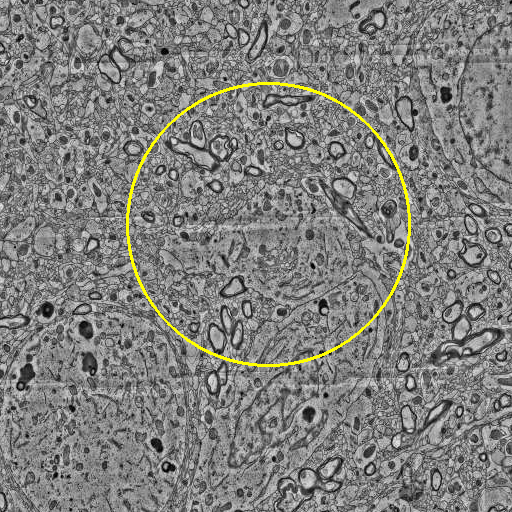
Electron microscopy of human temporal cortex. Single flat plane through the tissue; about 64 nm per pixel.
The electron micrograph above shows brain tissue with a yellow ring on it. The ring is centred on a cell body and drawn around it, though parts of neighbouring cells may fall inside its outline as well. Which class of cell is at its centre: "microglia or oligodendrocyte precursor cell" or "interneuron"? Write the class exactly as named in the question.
interneuron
